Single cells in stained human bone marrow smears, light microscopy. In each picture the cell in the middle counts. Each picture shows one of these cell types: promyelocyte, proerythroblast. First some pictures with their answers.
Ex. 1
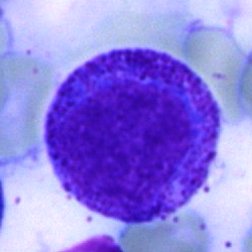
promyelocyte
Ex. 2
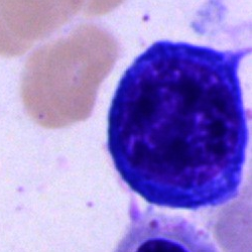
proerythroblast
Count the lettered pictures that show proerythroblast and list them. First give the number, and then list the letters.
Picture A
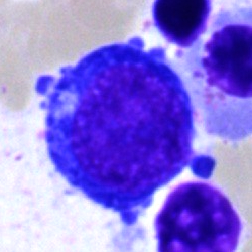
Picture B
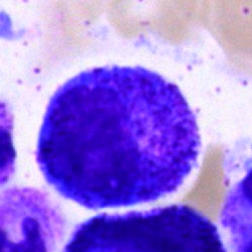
1, namely A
